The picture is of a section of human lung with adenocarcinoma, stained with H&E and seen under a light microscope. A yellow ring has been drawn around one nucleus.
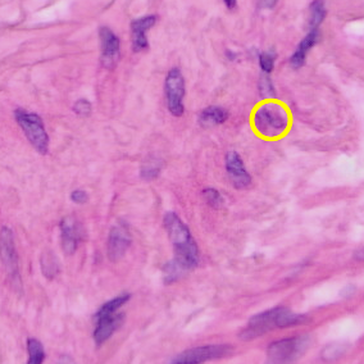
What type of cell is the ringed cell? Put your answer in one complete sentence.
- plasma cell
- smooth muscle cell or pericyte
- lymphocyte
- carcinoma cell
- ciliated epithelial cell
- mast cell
The identity of the ringed cell is that of a smooth muscle cell or pericyte.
